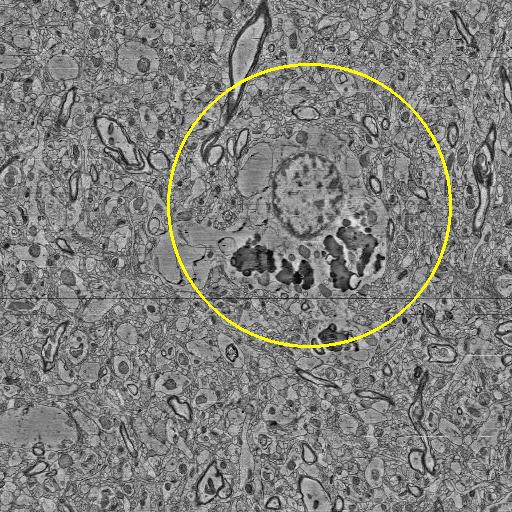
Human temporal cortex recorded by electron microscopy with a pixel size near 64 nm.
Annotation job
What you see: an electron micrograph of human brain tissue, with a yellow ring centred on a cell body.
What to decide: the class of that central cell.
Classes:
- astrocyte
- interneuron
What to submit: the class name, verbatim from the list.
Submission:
astrocyte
